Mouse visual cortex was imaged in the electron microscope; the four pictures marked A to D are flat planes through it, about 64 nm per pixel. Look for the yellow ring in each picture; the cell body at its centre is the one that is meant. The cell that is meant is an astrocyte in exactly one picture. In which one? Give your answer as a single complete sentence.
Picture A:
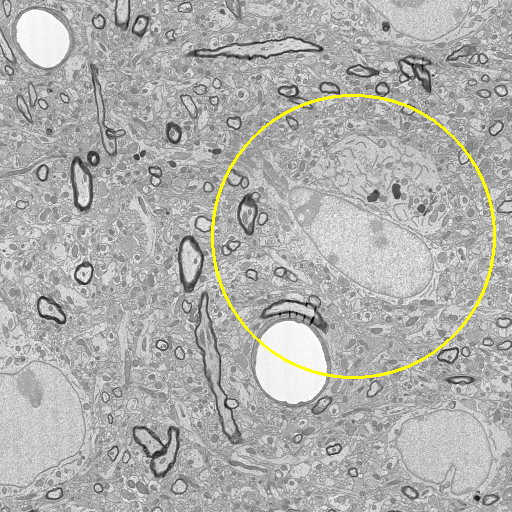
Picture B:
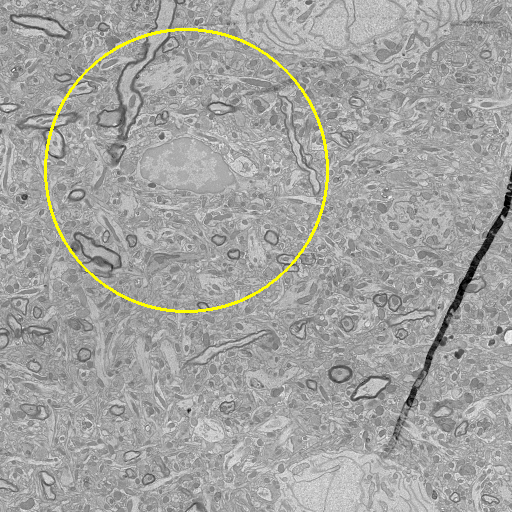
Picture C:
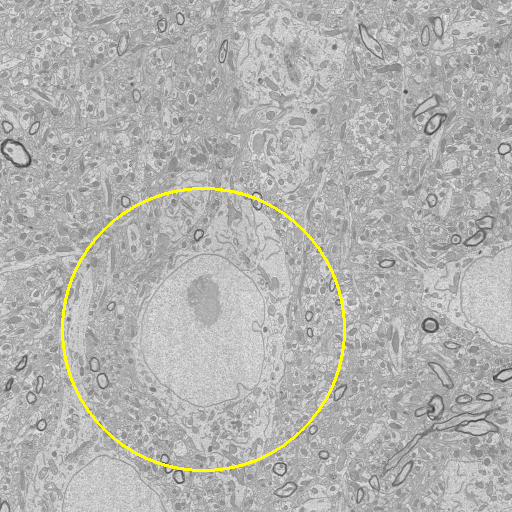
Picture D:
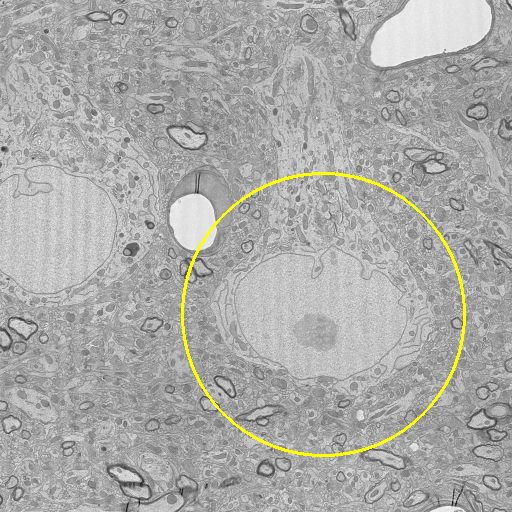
Picture A is the one that shows the astrocyte.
